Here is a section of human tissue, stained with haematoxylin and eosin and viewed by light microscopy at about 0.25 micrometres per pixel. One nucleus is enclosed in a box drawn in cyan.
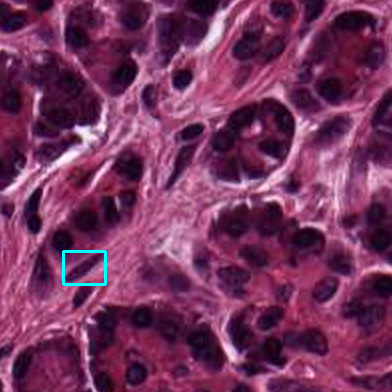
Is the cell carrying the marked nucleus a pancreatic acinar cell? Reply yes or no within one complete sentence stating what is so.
No, the marked nucleus belongs to a supporting cell of connective tissue, a vessel or the immune system, not to a pancreatic acinar cell.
